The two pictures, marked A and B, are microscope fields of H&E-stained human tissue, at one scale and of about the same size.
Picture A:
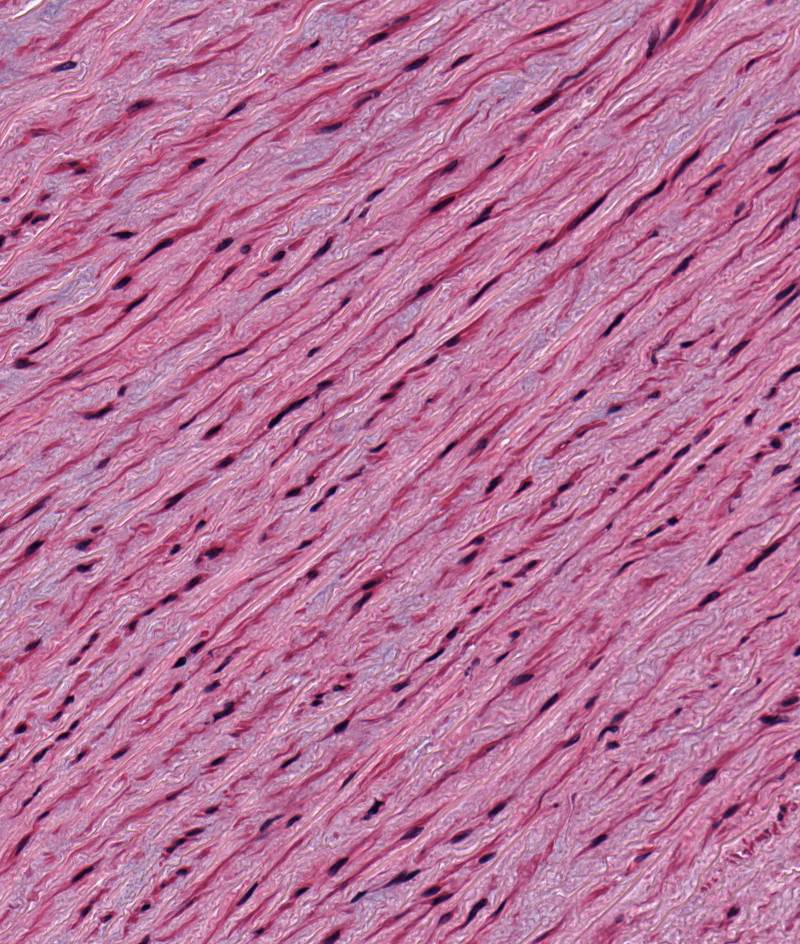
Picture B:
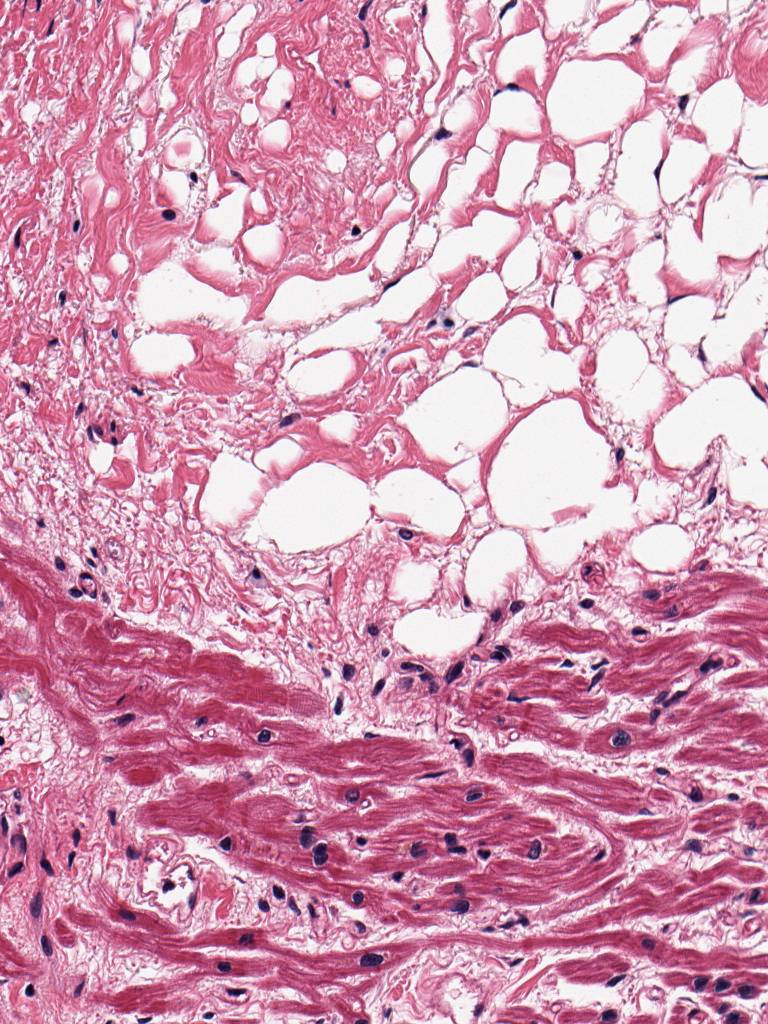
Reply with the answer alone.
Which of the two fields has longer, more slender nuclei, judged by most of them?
A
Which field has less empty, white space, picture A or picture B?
A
